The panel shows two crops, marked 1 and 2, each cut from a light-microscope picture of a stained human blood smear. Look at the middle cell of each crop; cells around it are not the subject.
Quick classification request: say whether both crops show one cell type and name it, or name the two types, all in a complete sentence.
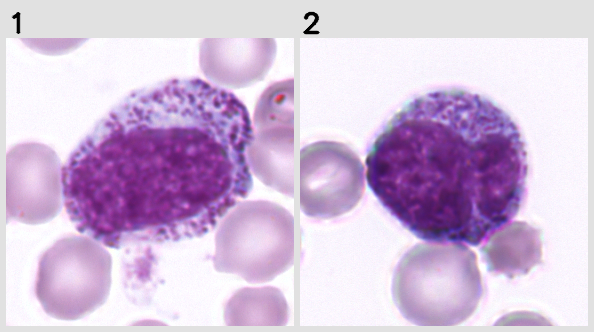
Yes, it is myelocytes that sit at the centre of both crops.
